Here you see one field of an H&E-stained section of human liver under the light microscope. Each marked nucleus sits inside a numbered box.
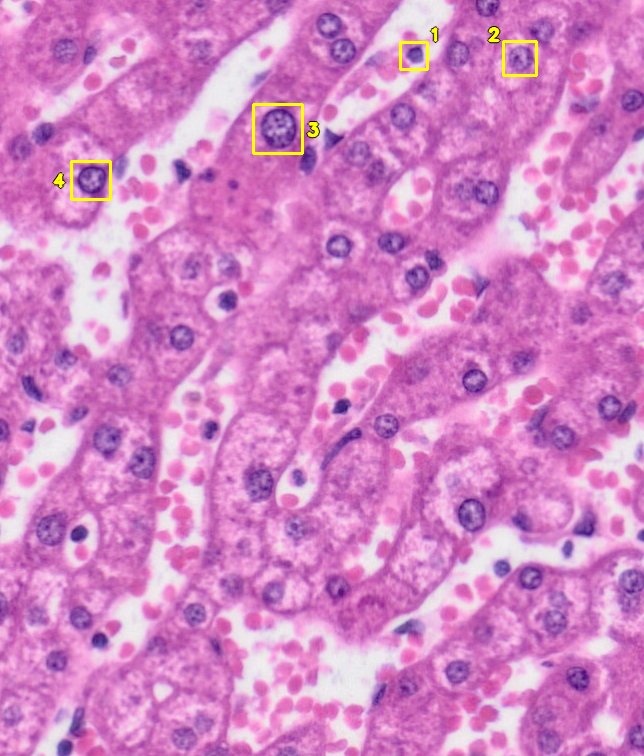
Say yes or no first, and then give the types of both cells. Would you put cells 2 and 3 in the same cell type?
Yes, both are hepatocytes.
